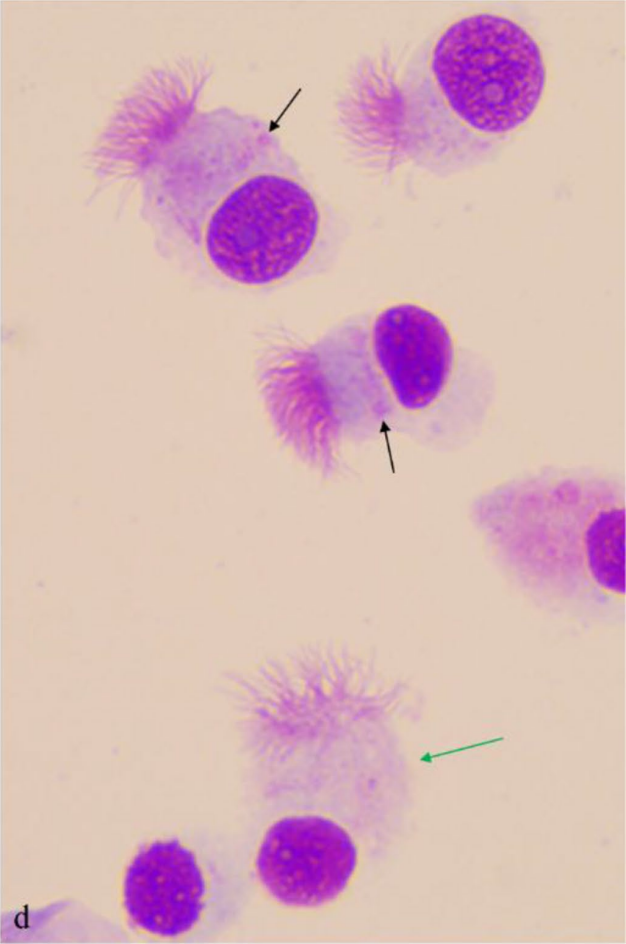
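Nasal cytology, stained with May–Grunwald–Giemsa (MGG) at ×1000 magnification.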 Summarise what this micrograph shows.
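The cytoplasm between them is pale lilac. In the upper cells a darker band lies above the nucleus, below the ciliary tuft. One lower cell has paler, washed-out cytoplasm and fainter cilia, its nucleus lying at its edge.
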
